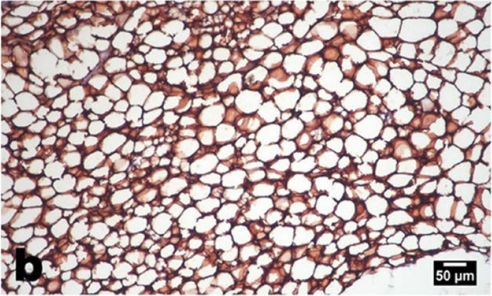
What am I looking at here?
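This is fat tissue with adipocytes of various sizes, many of them smaller than usual and crowded together. The rims of cytoplasm around the clear fat spaces are stained a dark, intense brown. The brown bands are thicker and darker than a thin rim, so the whole field looks heavily stained. Clear spaces of different sizes lie side by side, giving an uneven pattern.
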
